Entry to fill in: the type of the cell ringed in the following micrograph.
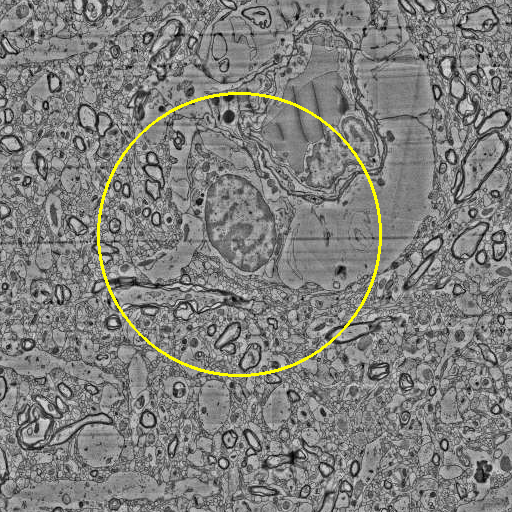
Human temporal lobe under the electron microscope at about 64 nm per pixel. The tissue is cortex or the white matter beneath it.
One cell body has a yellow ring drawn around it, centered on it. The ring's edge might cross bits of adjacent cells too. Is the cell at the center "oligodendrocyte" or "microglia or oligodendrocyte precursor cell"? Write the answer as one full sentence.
This entry names a microglial cell or oligodendrocyte precursor cell as the cell whose body lies at the ring's center.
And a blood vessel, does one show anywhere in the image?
Yes.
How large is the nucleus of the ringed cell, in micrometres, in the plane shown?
In this plane the nucleus measures roughly 6 by 4 micrometers.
